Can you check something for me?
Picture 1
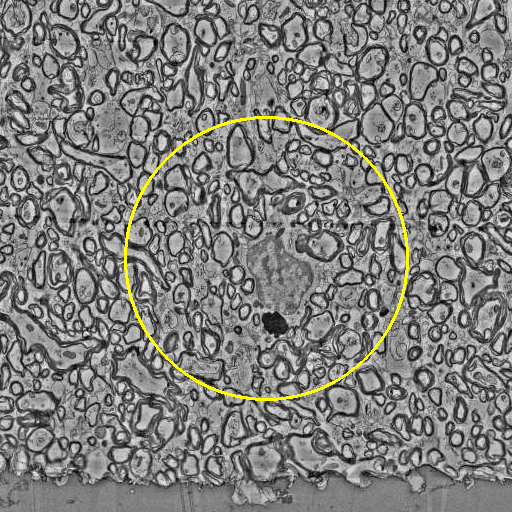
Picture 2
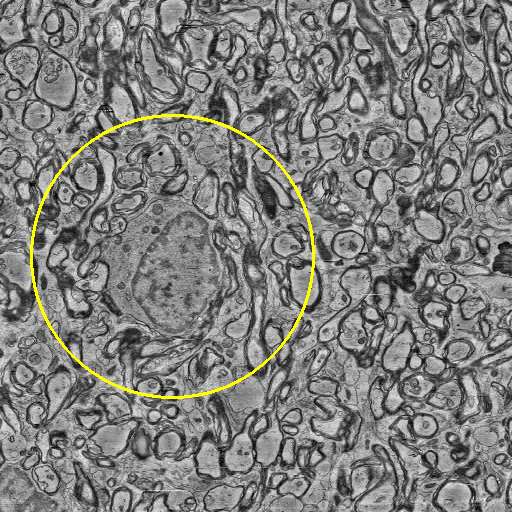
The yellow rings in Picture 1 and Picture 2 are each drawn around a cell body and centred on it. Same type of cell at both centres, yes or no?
yes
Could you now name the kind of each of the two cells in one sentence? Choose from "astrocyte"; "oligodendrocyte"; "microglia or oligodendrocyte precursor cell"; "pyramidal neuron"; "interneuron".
Each of the two rings surrounds an oligodendrocyte.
